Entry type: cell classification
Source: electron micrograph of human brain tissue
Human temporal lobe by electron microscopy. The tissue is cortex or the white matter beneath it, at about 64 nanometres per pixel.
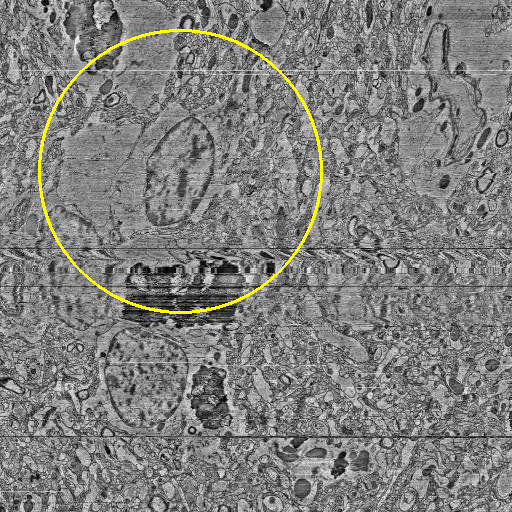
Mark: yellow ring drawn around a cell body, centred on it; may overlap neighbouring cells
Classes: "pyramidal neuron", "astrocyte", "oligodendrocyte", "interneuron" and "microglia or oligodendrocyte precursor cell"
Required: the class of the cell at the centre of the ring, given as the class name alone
astrocyte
